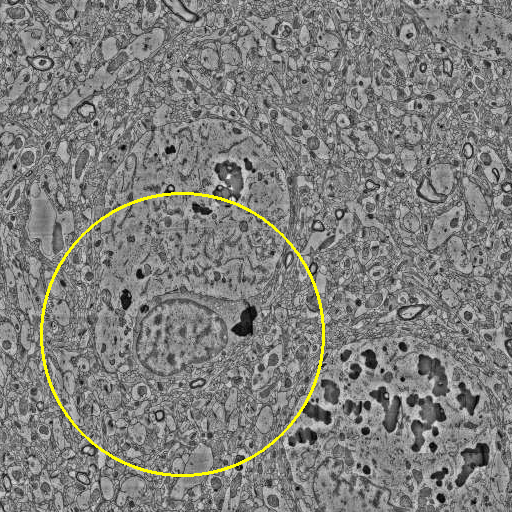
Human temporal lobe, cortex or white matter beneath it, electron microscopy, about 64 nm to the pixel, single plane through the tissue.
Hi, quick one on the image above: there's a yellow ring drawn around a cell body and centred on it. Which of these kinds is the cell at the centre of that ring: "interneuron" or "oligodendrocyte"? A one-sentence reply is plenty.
The cell at the centre of the ring is an oligodendrocyte.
